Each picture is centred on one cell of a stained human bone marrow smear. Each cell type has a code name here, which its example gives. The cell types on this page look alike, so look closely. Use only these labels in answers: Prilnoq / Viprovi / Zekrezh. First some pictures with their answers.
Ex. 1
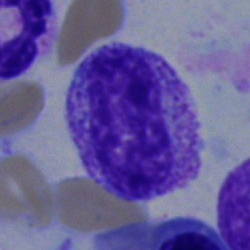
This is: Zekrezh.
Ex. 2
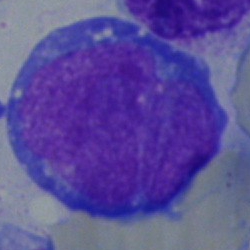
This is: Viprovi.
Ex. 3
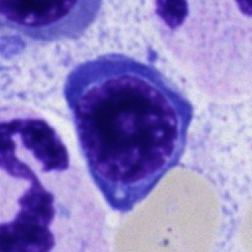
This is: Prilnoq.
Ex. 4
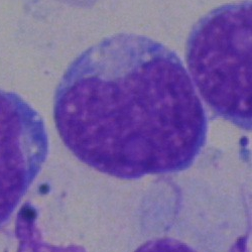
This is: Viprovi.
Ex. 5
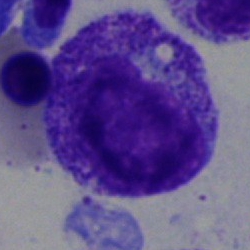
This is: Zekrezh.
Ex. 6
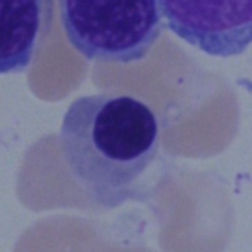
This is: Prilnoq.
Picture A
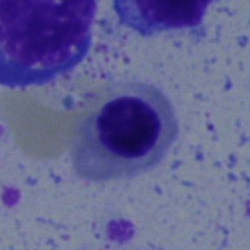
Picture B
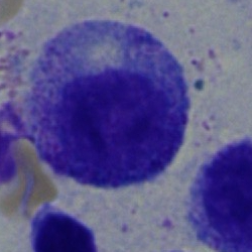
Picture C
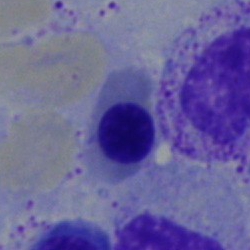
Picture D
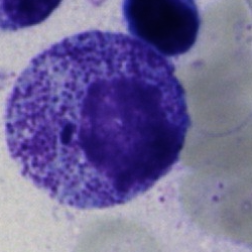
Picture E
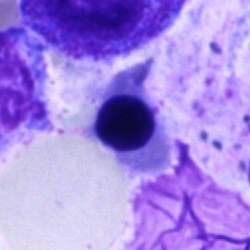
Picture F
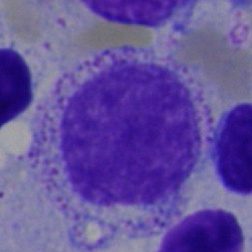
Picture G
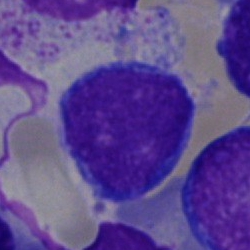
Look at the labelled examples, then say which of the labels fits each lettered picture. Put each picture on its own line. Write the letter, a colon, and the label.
A: Prilnoq.
B: Zekrezh.
C: Prilnoq.
D: Zekrezh.
E: Prilnoq.
F: Zekrezh.
G: Viprovi.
